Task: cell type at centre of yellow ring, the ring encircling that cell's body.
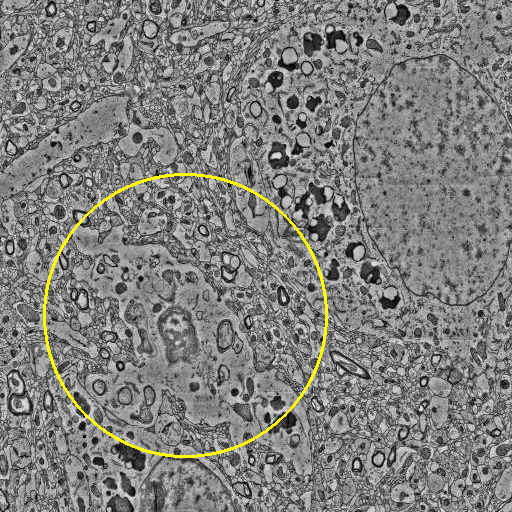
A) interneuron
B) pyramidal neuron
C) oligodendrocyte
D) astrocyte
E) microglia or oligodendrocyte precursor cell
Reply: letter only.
D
